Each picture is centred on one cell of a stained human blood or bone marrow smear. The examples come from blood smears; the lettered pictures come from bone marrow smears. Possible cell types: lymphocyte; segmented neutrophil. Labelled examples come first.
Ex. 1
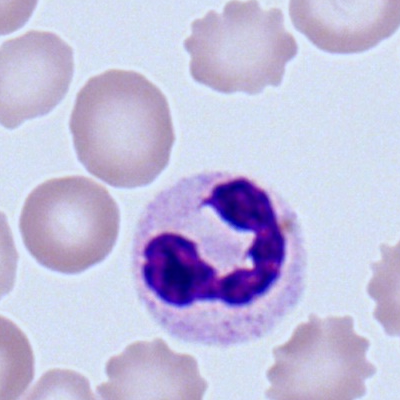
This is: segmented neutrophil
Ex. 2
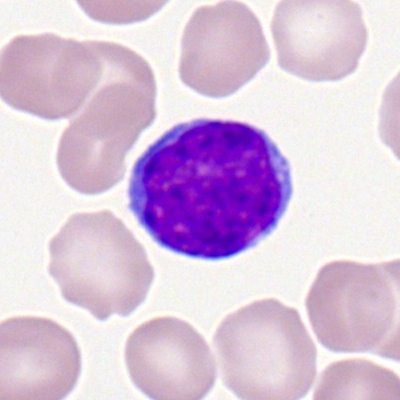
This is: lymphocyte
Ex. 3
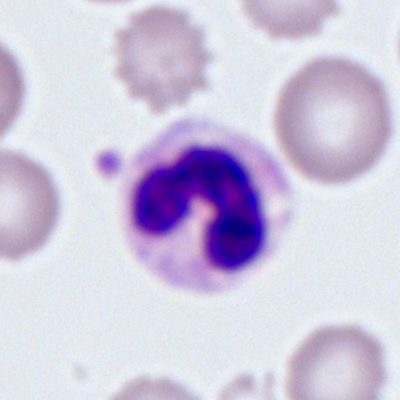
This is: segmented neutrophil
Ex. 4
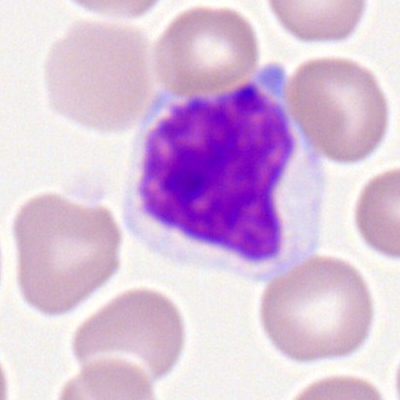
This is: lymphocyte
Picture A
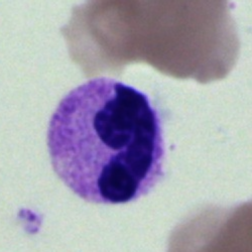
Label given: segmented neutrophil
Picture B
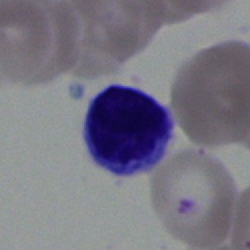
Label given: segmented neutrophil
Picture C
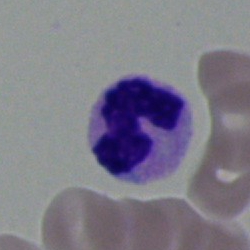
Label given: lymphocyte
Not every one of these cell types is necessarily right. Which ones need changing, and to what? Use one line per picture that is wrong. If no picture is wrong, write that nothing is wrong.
B: lymphocyte, not segmented neutrophil
C: segmented neutrophil, not lymphocyte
